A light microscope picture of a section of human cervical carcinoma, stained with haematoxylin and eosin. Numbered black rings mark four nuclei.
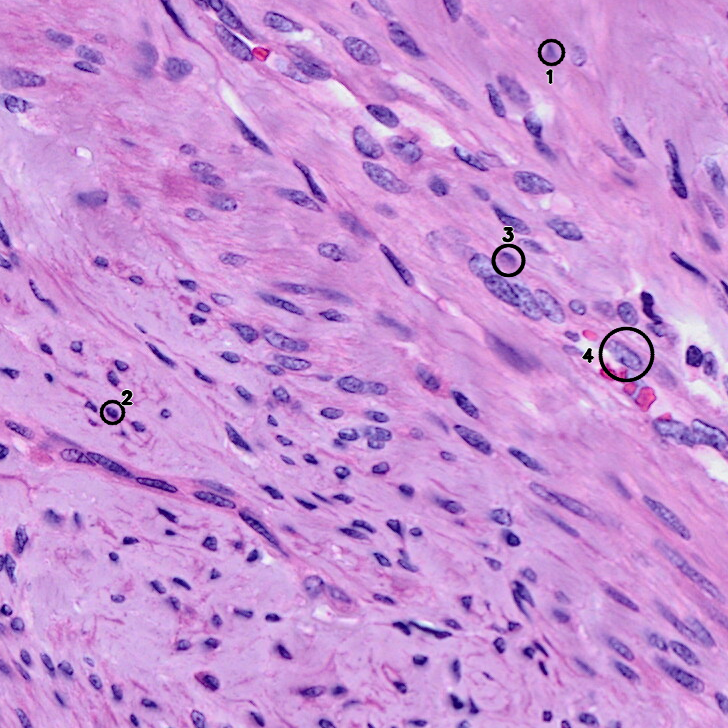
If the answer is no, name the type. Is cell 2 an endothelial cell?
No, it is a smooth muscle cell.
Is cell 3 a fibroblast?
No, it is an endothelial cell.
